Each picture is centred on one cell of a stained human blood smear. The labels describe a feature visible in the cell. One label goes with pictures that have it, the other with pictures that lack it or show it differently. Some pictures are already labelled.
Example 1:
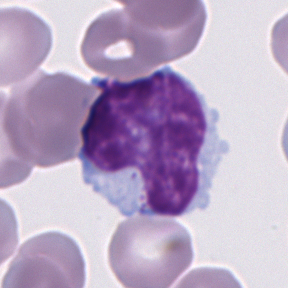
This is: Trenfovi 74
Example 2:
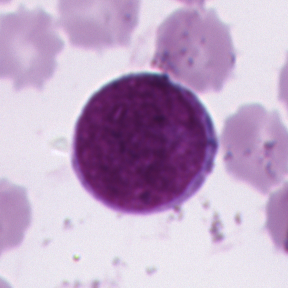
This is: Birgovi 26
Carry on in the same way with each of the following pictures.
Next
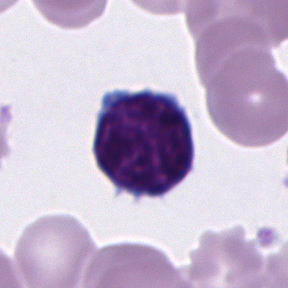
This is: Trenfovi 74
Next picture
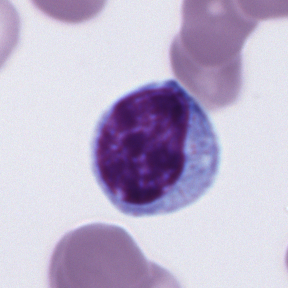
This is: Birgovi 26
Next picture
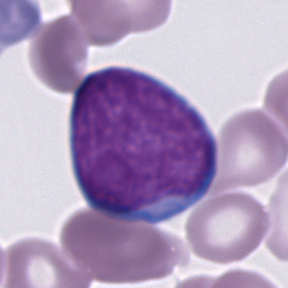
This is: Birgovi 26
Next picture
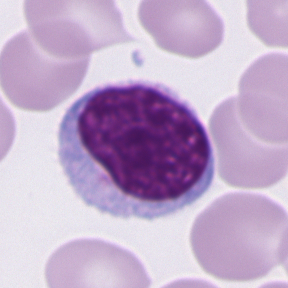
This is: Trenfovi 74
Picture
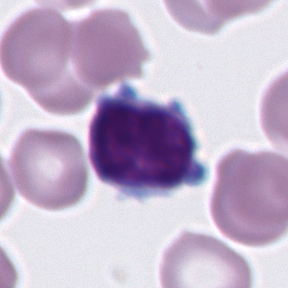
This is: Trenfovi 74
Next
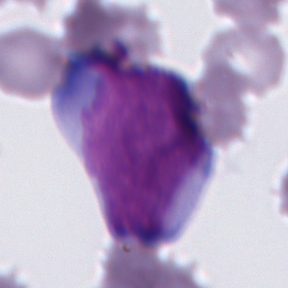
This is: Trenfovi 74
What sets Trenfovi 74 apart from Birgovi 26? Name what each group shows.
Seen in Trenfovi 74: ragged outline or projections; seen in Birgovi 26: smooth outline.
